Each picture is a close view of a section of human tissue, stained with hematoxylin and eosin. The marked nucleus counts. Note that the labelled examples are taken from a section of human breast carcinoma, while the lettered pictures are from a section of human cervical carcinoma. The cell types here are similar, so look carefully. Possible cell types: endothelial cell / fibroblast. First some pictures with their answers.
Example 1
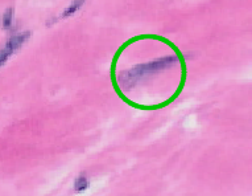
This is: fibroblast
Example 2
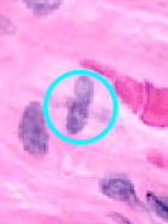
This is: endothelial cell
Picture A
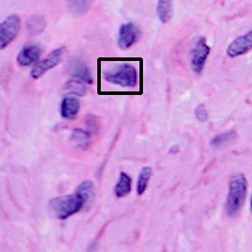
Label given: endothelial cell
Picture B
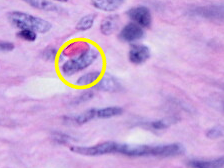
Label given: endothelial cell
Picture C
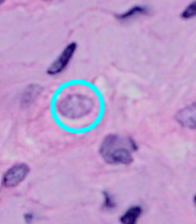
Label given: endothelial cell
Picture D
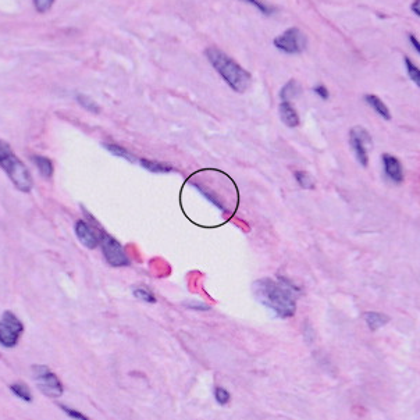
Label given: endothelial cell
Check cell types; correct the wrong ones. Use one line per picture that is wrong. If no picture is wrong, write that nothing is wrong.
A is labelled endothelial cell; correct label: fibroblast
